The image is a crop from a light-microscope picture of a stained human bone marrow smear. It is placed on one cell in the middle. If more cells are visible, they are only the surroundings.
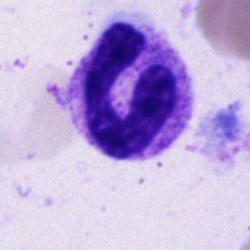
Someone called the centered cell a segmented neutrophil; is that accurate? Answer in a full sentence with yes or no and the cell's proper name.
No, this one is a band neutrophil; it is not a segmented neutrophil.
